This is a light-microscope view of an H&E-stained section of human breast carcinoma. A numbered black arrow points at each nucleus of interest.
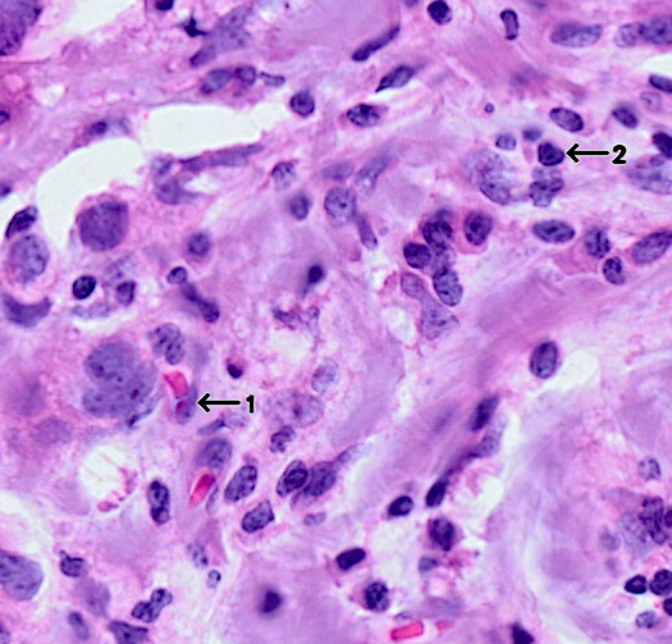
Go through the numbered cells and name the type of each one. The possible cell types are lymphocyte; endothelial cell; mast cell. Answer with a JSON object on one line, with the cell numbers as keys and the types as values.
{"1": "endothelial cell", "2": "lymphocyte"}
